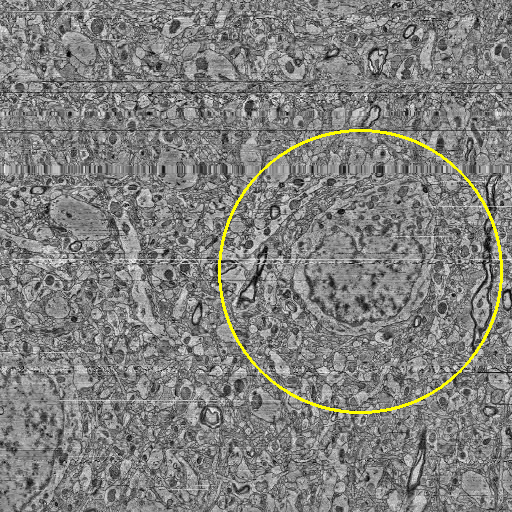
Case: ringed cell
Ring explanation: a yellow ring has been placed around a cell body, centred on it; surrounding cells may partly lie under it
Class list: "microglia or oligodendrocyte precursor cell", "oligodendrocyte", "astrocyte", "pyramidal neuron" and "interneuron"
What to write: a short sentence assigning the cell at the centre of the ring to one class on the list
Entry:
The cell at the ring's centre is an interneuron.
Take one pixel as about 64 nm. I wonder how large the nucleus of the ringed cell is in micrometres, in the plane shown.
Roughly 7 micrometers across, in this plane.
